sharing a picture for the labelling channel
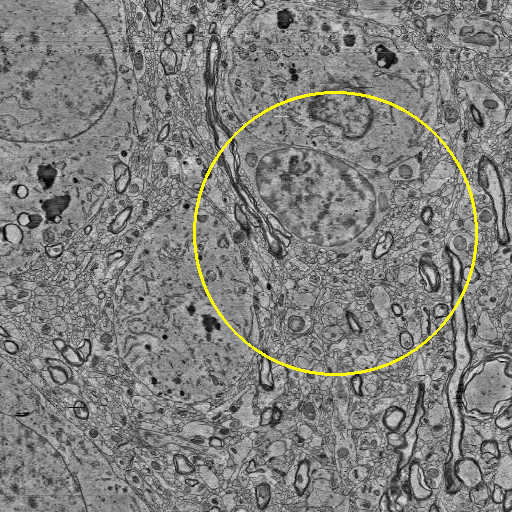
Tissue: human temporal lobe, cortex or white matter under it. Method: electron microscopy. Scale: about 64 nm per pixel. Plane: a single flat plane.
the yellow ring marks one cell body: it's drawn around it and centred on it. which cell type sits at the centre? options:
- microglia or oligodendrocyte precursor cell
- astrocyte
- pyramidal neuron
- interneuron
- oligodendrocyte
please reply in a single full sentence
In the picture, the cell at the ring's centre is an oligodendrocyte, going by the list.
